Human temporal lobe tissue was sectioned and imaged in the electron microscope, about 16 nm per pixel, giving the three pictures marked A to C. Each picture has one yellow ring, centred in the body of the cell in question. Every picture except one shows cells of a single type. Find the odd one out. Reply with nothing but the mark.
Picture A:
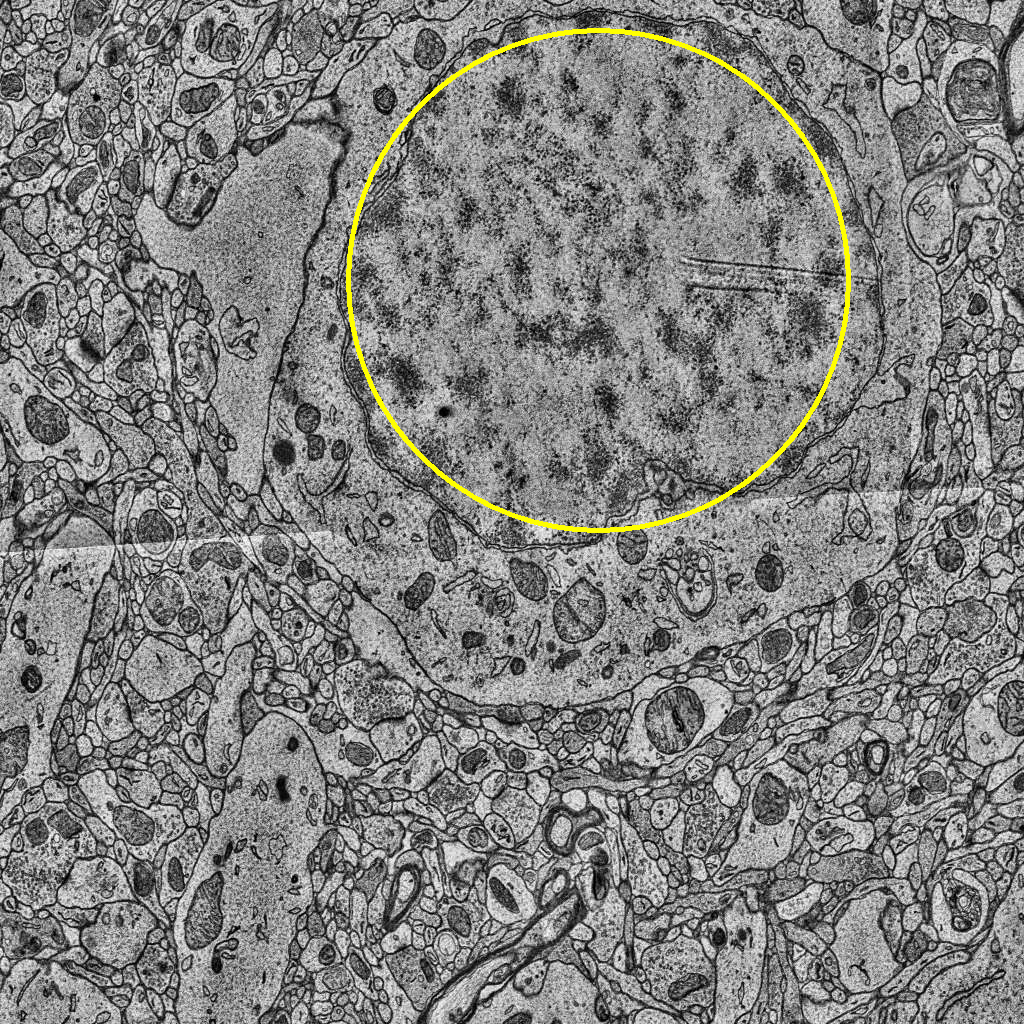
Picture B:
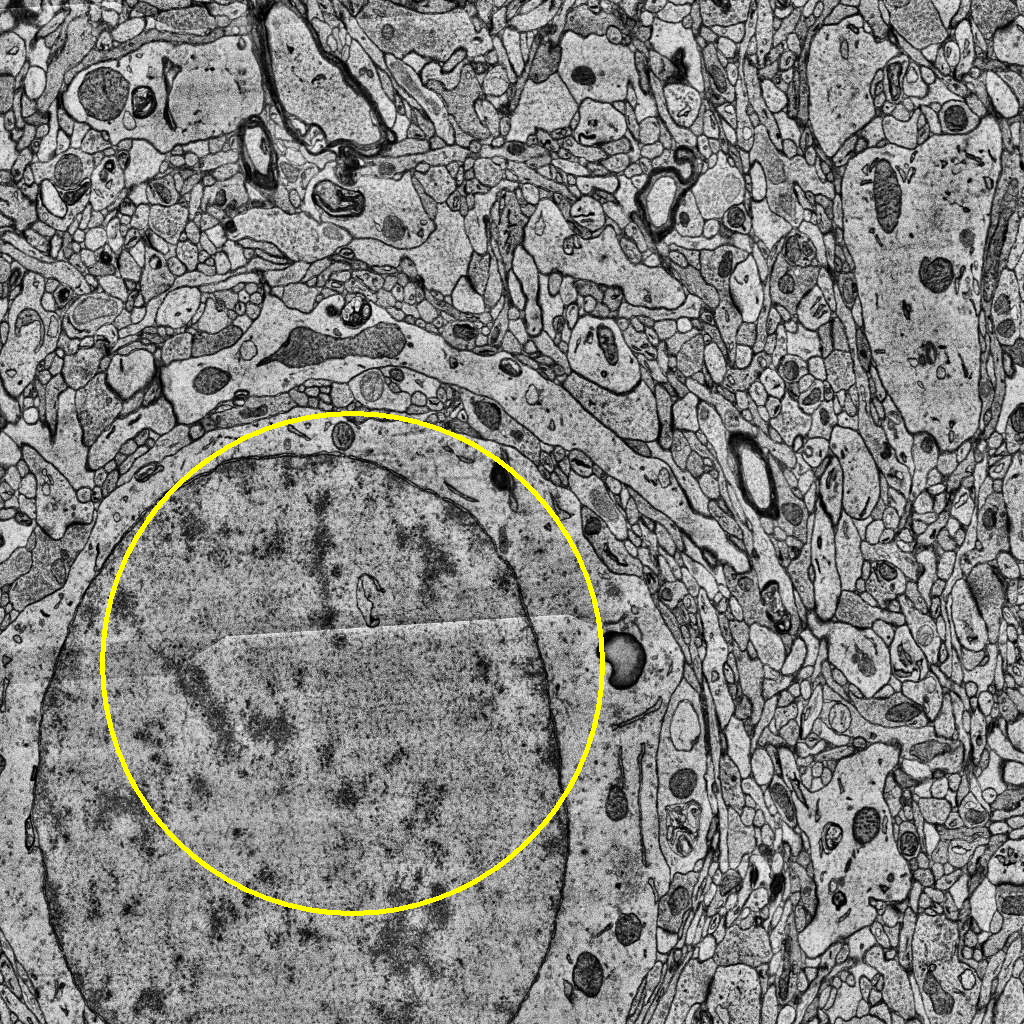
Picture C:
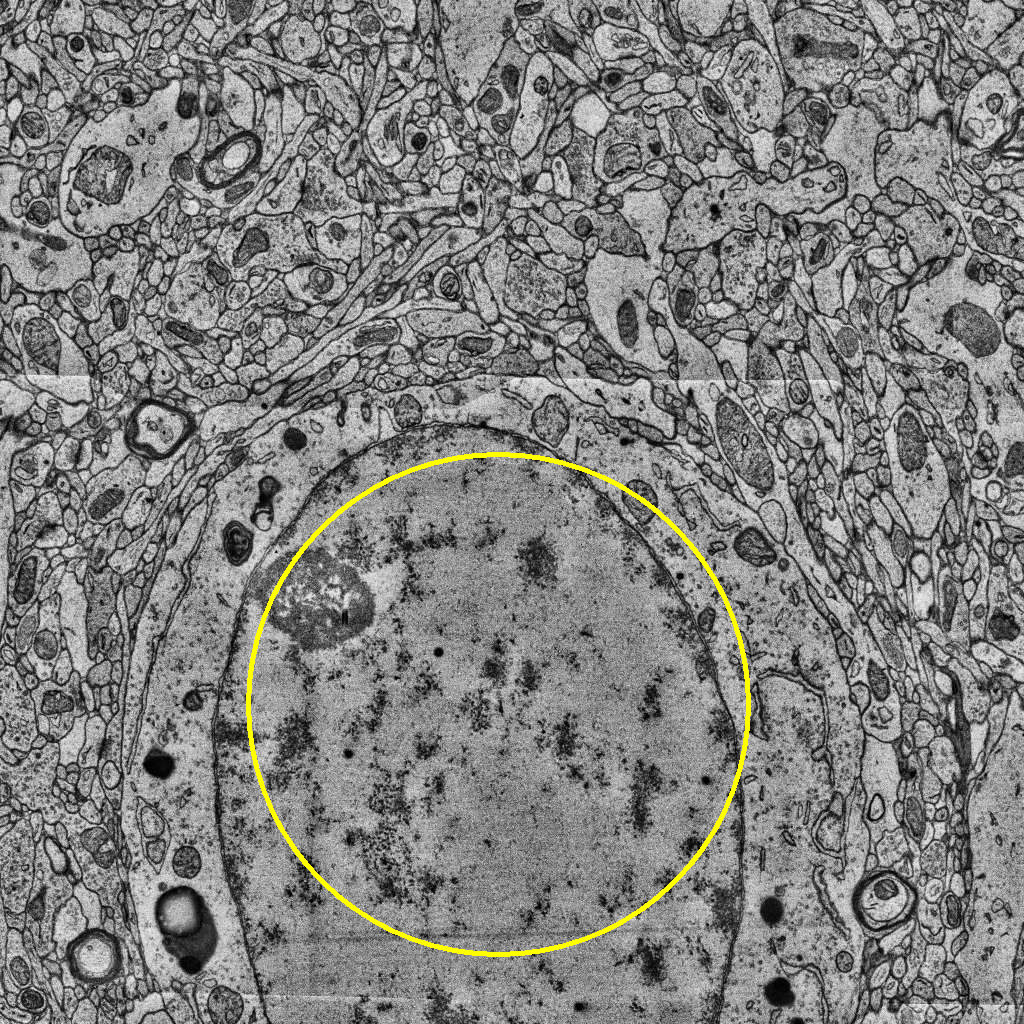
A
